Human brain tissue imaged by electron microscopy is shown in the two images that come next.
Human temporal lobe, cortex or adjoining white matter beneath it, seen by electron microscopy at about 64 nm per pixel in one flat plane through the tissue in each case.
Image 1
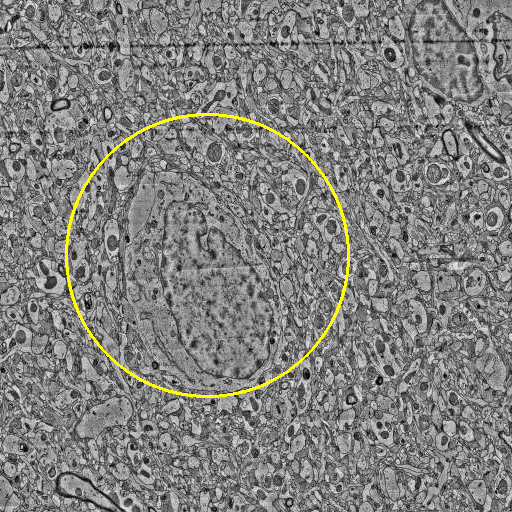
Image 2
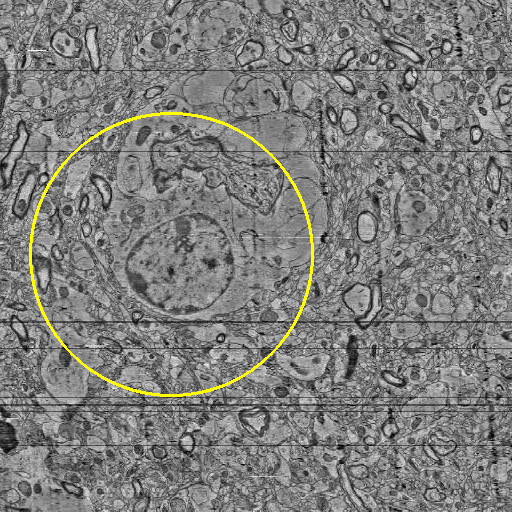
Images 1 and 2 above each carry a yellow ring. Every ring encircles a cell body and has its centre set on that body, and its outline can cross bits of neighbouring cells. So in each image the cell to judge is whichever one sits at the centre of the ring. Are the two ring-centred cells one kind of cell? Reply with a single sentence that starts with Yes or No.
No, in Image 1 and Image 2 the cells at the centres of their rings fall into two types.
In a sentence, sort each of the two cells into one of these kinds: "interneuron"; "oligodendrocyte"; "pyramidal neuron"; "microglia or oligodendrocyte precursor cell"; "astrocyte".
The first of the two cells is an interneuron, and the second is a microglial cell or oligodendrocyte precursor cell.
